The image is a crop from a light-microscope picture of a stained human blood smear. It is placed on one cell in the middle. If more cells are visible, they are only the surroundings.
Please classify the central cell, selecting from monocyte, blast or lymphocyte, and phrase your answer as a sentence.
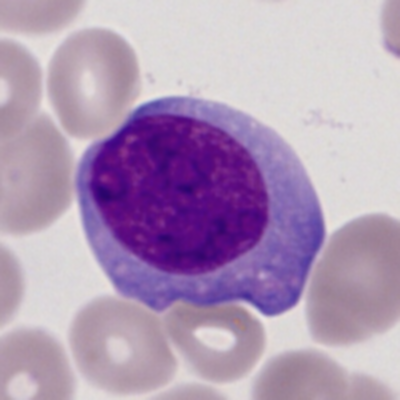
The cell marked by its central position in the crop is a blast.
